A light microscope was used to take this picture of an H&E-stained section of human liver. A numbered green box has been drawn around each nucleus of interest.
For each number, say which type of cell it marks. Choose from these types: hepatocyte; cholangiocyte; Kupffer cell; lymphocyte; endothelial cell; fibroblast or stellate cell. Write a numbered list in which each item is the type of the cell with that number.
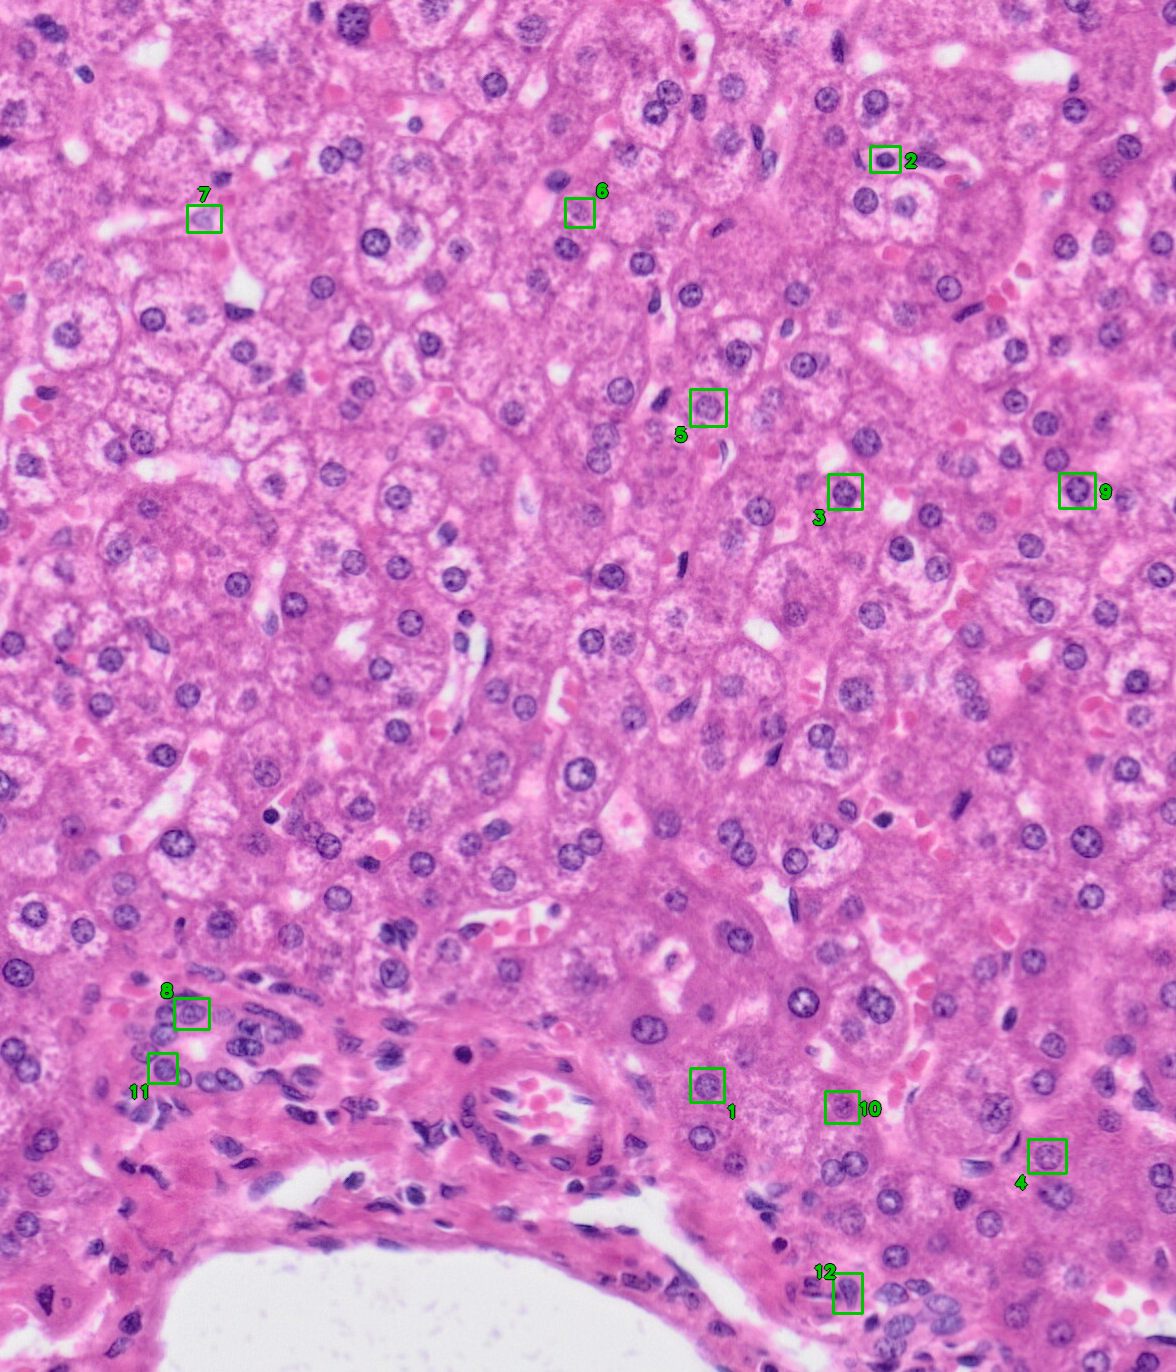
1. hepatocyte
2. lymphocyte
3. hepatocyte
4. hepatocyte
5. hepatocyte
6. hepatocyte
7. Kupffer cell
8. cholangiocyte
9. hepatocyte
10. hepatocyte
11. cholangiocyte
12. fibroblast or stellate cell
